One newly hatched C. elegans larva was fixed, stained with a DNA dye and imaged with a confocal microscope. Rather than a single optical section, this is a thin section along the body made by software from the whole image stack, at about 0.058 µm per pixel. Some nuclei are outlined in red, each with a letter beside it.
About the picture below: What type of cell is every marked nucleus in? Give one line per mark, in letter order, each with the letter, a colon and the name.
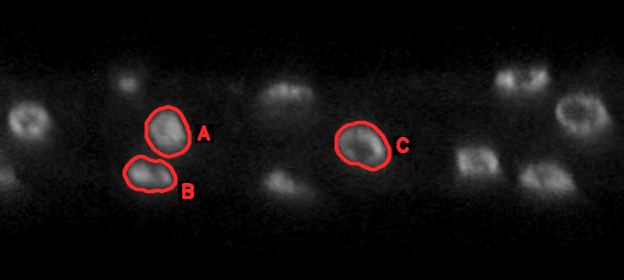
A: intestinal cell
B: seam cell
C: intestinal cell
